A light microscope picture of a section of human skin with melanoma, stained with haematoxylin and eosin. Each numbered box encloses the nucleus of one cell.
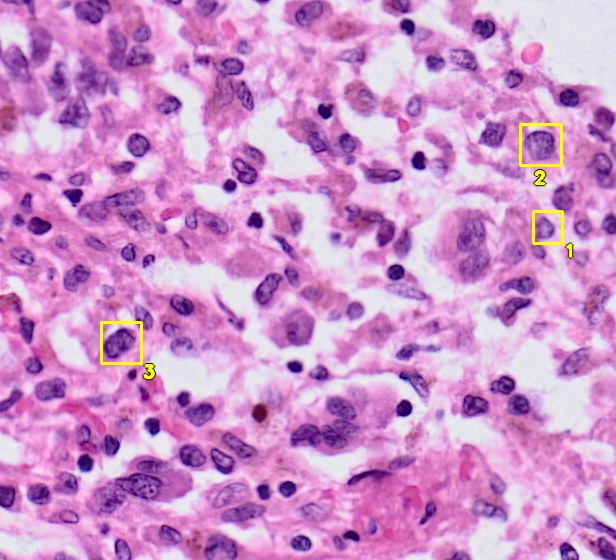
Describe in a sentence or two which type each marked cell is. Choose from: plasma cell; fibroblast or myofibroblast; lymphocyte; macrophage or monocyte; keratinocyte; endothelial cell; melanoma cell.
Cell 1 is a macrophage or monocyte. Cells 2 and 3 are melanoma cells.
